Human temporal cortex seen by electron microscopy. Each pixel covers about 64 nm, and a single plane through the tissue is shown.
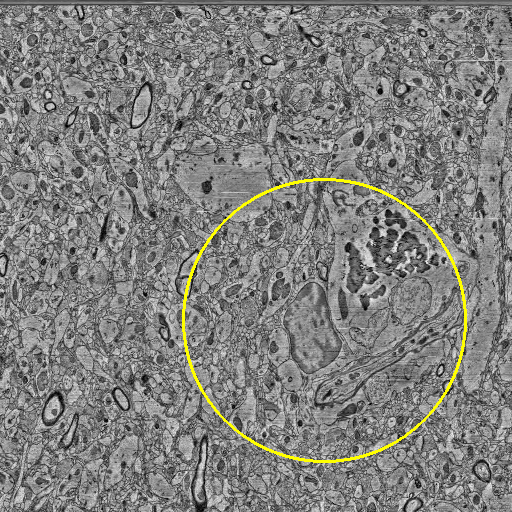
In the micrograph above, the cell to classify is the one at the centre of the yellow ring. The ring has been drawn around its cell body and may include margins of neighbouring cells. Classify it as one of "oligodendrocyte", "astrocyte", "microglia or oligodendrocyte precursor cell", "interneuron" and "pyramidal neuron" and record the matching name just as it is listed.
microglia or oligodendrocyte precursor cell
